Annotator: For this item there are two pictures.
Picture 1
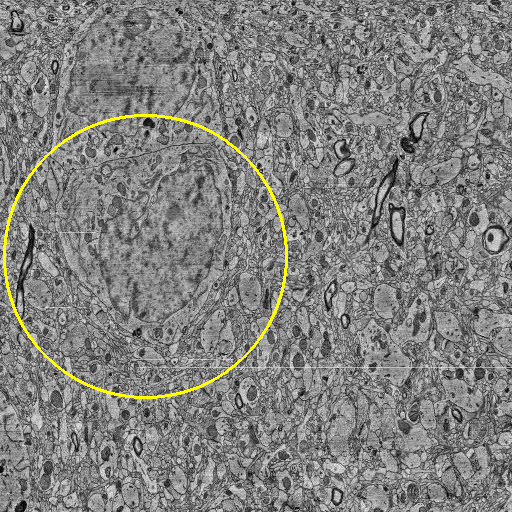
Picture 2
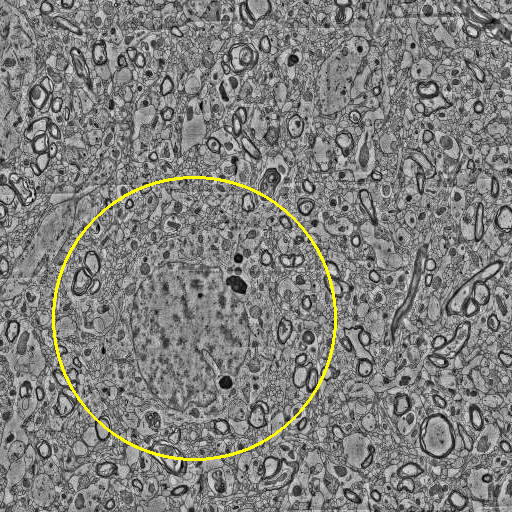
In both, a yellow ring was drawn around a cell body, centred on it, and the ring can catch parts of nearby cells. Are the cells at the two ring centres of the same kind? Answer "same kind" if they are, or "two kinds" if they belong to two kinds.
same kind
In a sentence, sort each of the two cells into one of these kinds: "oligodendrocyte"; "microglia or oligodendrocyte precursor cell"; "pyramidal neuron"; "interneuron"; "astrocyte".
The cell at the ring centre is an interneuron in both pictures.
